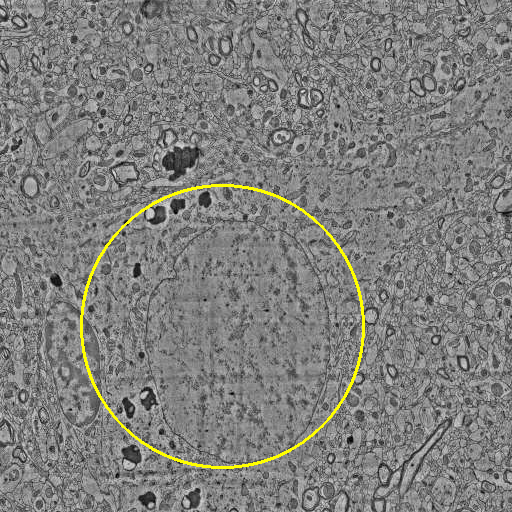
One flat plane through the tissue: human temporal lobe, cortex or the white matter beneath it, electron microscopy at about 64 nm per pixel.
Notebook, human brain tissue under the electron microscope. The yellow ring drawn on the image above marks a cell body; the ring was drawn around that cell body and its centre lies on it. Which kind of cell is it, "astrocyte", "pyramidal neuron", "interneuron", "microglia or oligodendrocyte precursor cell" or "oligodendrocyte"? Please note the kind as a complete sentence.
The marked cell body is that of a pyramidal neuron.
